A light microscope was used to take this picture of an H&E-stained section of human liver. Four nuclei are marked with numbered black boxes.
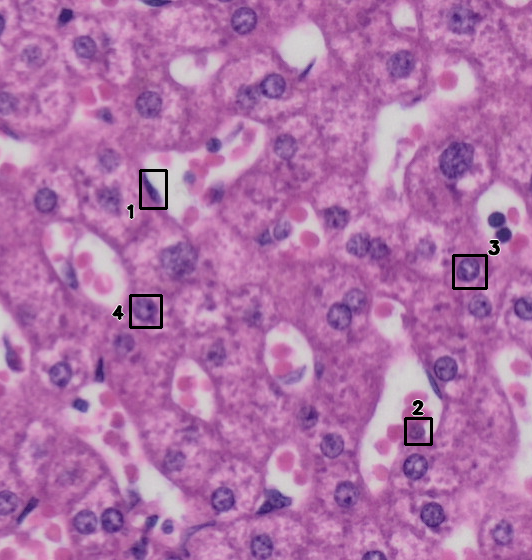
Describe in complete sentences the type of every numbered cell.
Cell 1 is an endothelial cell, cell 2 is a Kupffer cell, cell 3 is a hepatocyte and cell 4 is a hepatocyte.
